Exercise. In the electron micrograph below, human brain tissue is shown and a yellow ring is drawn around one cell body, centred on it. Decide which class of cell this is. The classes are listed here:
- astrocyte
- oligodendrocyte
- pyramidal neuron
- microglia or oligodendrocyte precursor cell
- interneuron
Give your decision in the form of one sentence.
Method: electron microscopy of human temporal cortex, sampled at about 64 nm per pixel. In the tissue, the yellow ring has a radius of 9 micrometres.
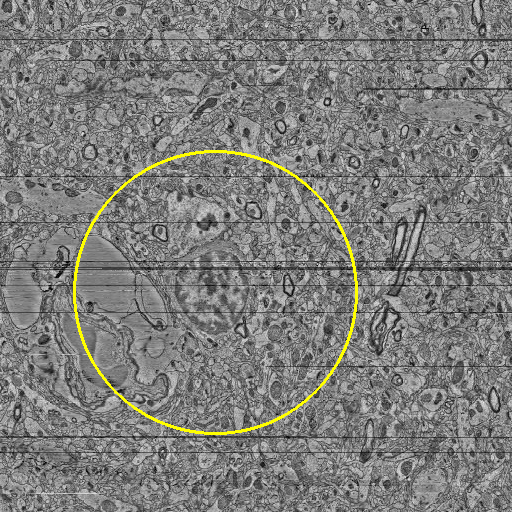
The cell body marked by the ring belongs to an oligodendrocyte.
